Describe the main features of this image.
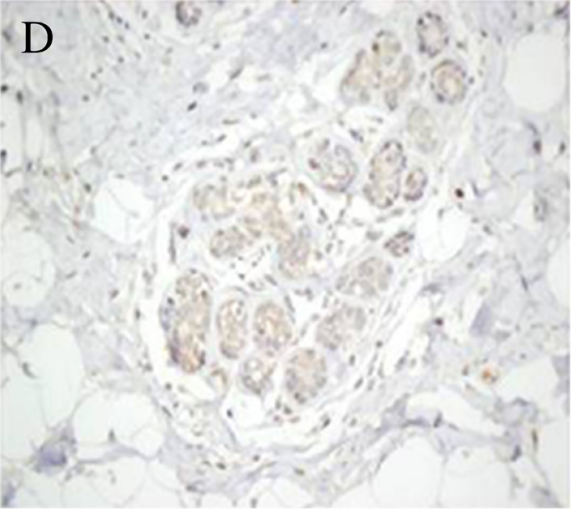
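This is healthy breast tissue showing a terminal ductal lobular unit: a compact rounded lobule made of many small acini grouped together. Each acinus is a small ring of epithelial cells with a tiny central lumen, and the cells show only a faint brownish tint. The lobule is wrapped in loose, pale connective tissue with scattered small nuclei, and beyond it lie large empty fat cells with thin walls. A few scattered cells in the surrounding stroma show darker brown dots.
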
